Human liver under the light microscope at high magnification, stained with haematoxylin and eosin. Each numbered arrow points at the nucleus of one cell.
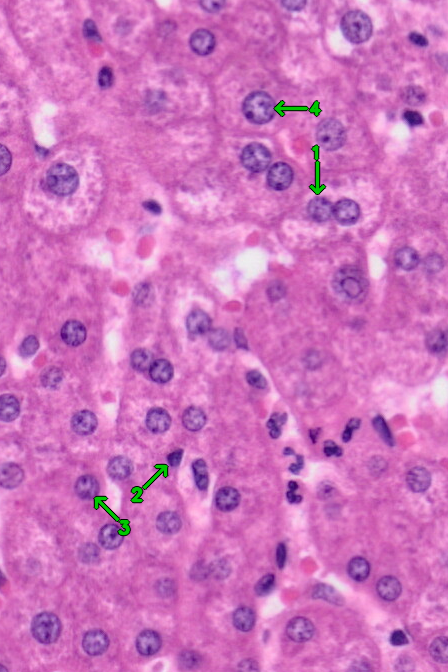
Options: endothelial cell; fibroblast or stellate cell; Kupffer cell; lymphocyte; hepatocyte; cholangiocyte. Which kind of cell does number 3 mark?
hepatocyte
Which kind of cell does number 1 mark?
hepatocyte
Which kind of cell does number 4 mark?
hepatocyte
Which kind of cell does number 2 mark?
fibroblast or stellate cell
